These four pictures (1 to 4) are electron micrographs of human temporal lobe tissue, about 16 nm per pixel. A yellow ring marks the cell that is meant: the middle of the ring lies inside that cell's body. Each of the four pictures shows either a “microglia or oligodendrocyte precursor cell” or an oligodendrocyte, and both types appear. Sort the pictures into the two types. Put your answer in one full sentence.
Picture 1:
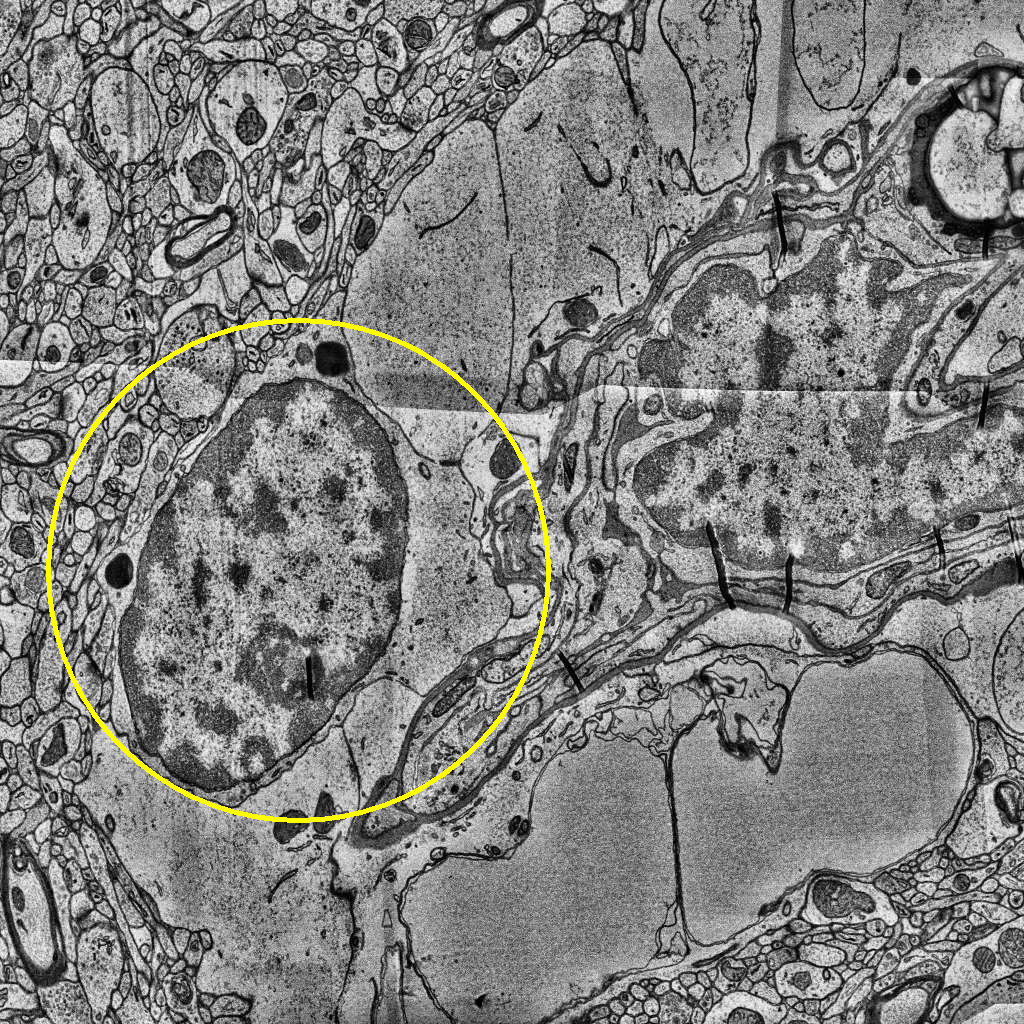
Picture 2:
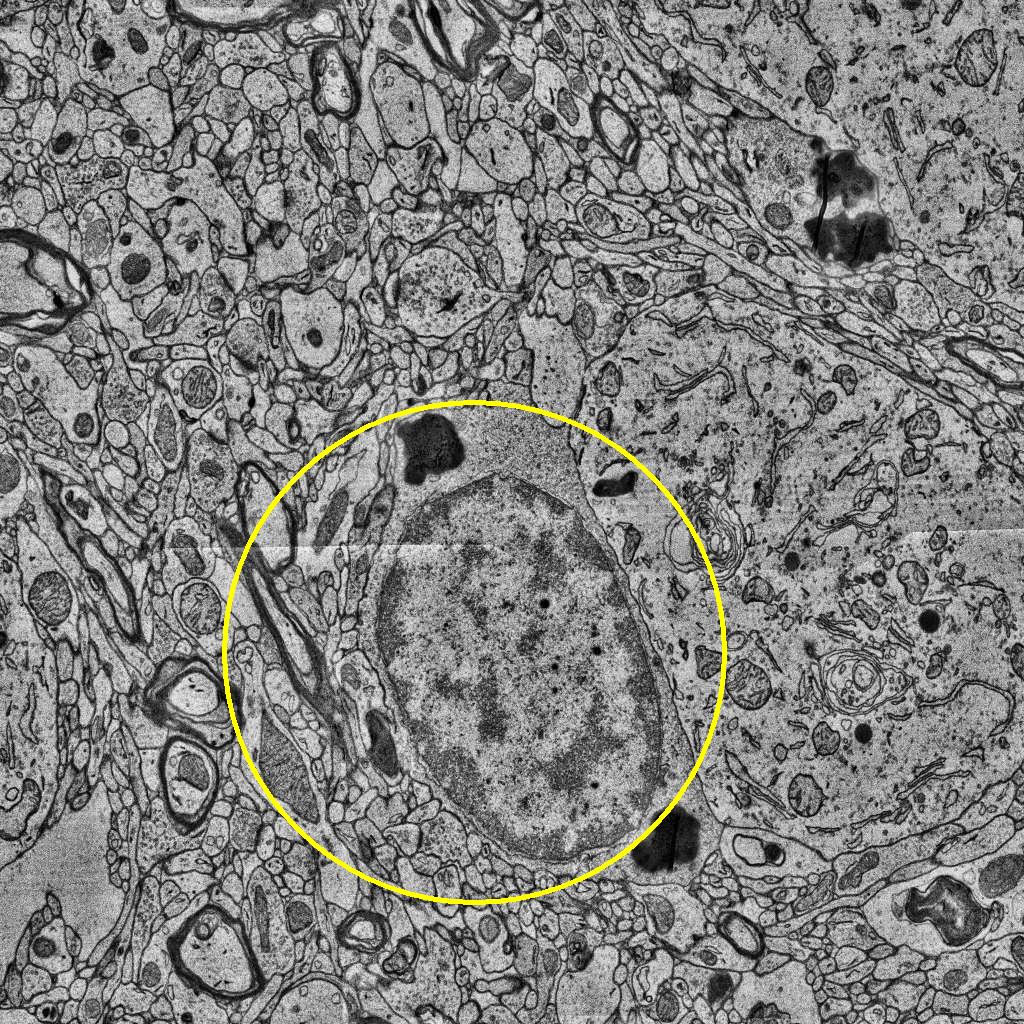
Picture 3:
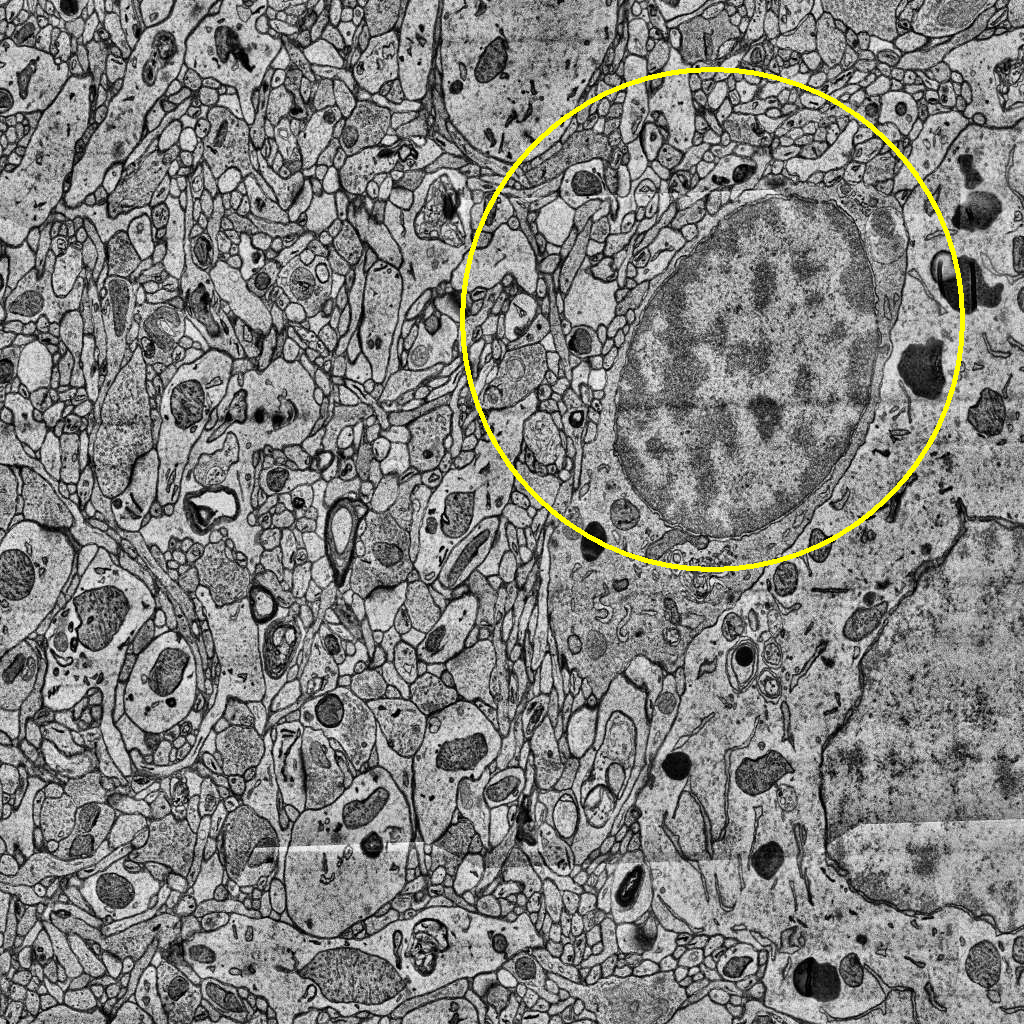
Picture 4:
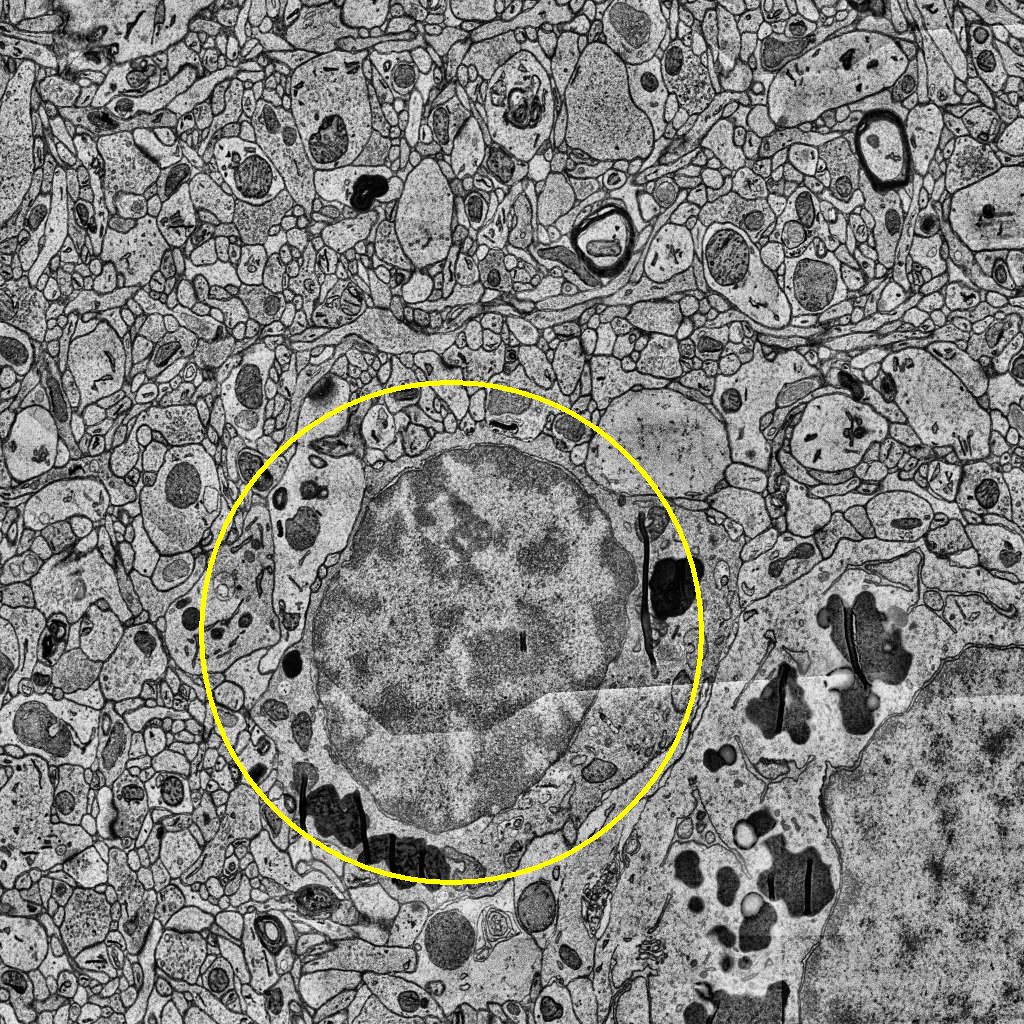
Picture 1 shows a “microglia or oligodendrocyte precursor cell”, while pictures 2, 3 and 4 show oligodendrocytes.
